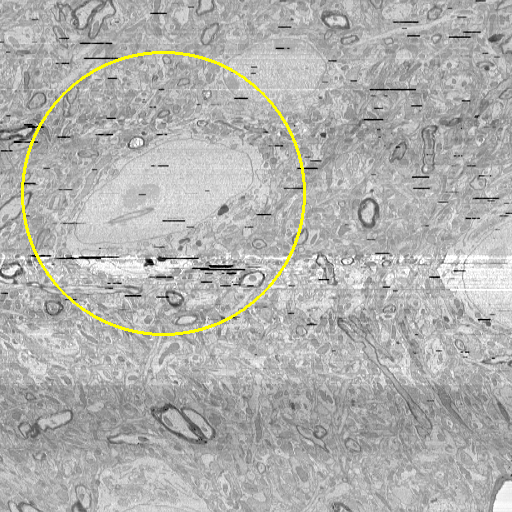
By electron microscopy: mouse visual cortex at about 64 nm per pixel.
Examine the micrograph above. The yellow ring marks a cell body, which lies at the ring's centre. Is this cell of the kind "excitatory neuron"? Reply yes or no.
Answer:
yes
